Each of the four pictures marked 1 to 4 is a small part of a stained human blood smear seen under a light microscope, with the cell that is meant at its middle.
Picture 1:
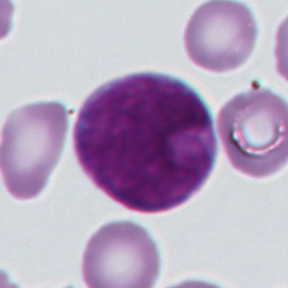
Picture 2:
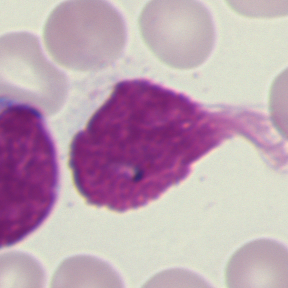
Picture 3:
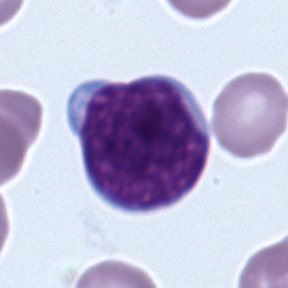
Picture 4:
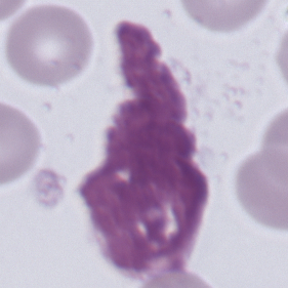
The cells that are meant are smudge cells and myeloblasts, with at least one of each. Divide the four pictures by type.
1: myeloblast
2: smudge cell
3: myeloblast
4: smudge cell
